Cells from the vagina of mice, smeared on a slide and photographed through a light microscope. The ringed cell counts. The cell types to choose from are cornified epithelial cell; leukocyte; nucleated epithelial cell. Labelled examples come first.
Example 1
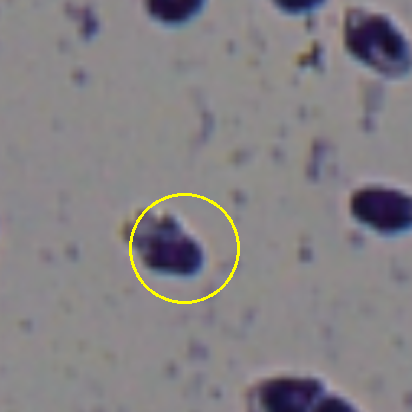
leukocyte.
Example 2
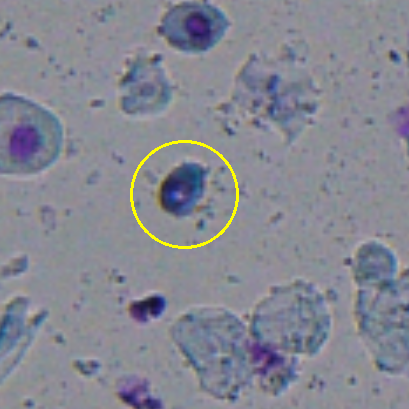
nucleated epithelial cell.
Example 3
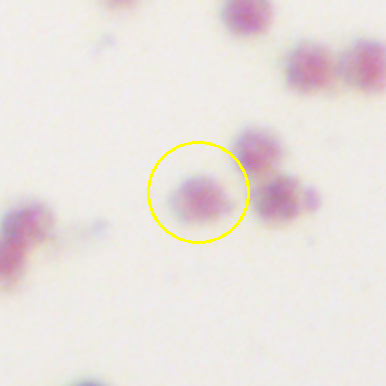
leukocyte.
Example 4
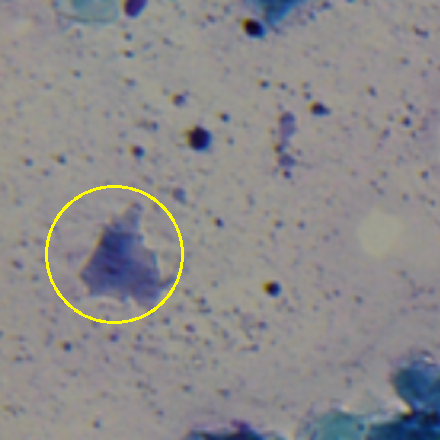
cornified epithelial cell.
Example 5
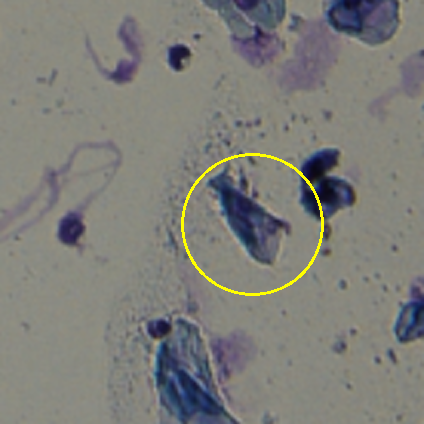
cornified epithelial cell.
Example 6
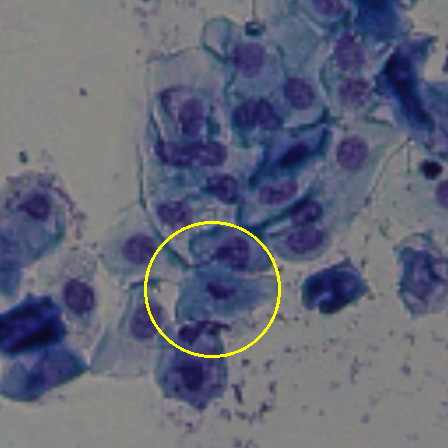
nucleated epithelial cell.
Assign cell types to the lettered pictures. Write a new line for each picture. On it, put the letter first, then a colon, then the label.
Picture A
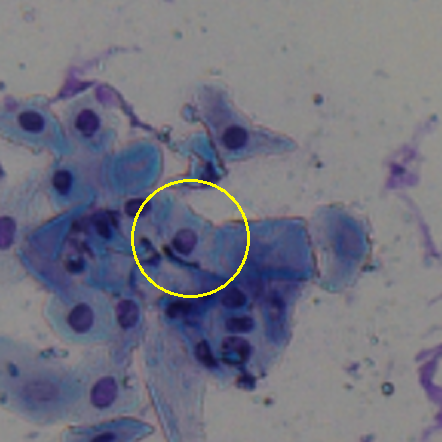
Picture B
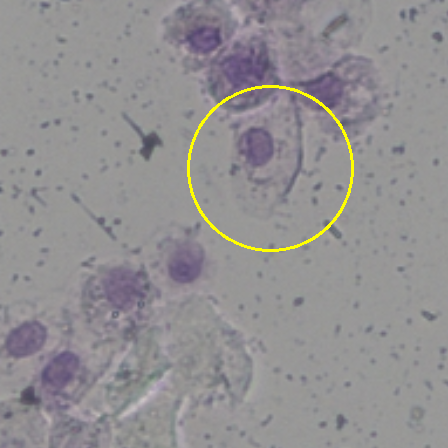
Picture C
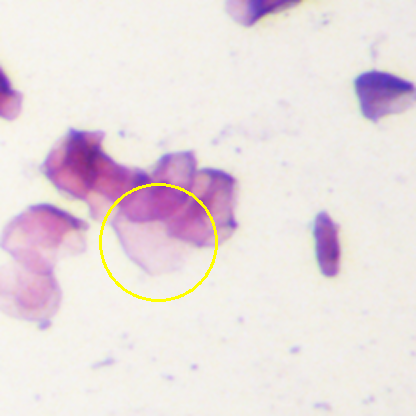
A: nucleated epithelial cell.
B: nucleated epithelial cell.
C: cornified epithelial cell.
